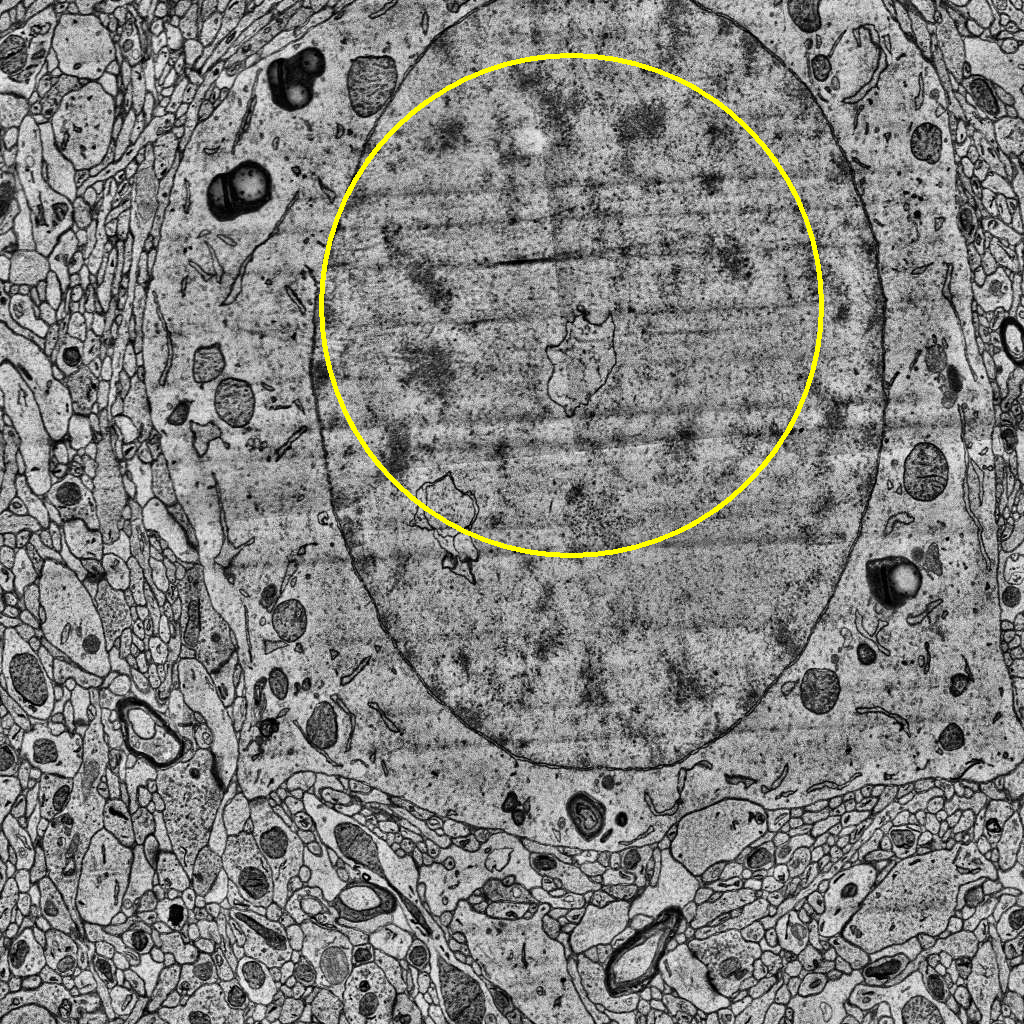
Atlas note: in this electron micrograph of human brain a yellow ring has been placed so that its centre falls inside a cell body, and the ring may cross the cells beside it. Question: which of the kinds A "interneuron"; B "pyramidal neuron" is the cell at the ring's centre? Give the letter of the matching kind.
B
